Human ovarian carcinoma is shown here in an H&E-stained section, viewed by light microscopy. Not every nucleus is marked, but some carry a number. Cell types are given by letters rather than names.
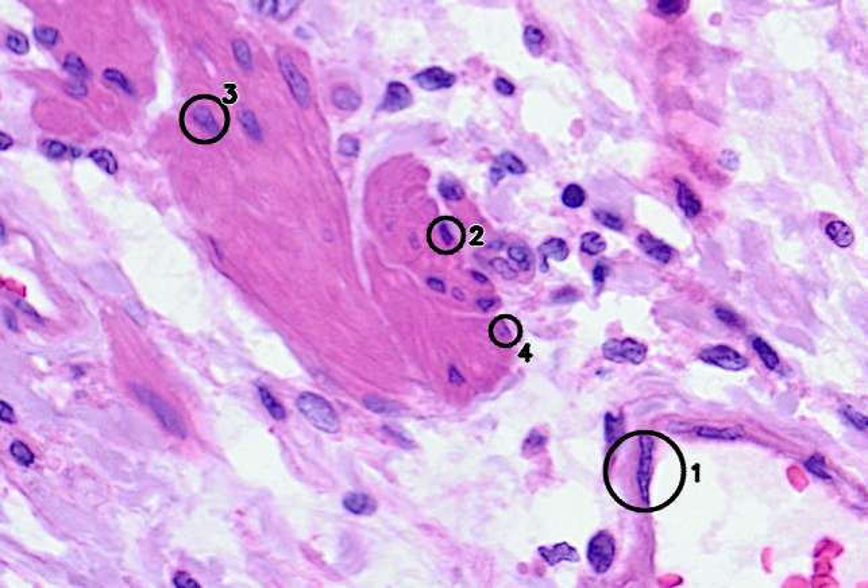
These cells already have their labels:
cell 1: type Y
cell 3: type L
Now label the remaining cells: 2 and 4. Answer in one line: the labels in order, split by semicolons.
type L; type L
